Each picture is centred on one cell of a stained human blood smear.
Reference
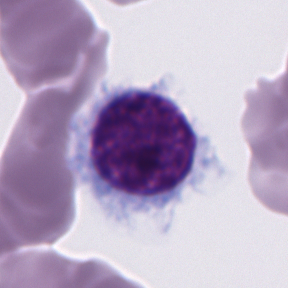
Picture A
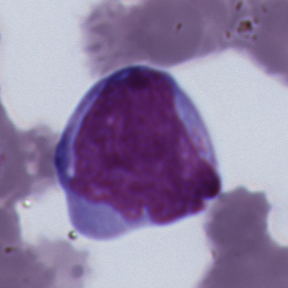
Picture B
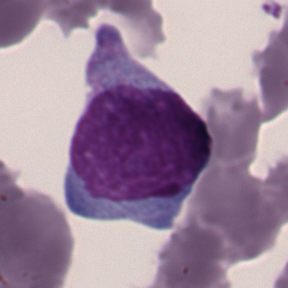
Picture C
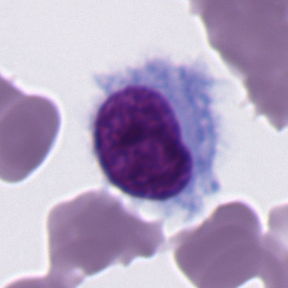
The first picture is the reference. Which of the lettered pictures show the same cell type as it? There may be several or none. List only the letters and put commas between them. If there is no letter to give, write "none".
C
